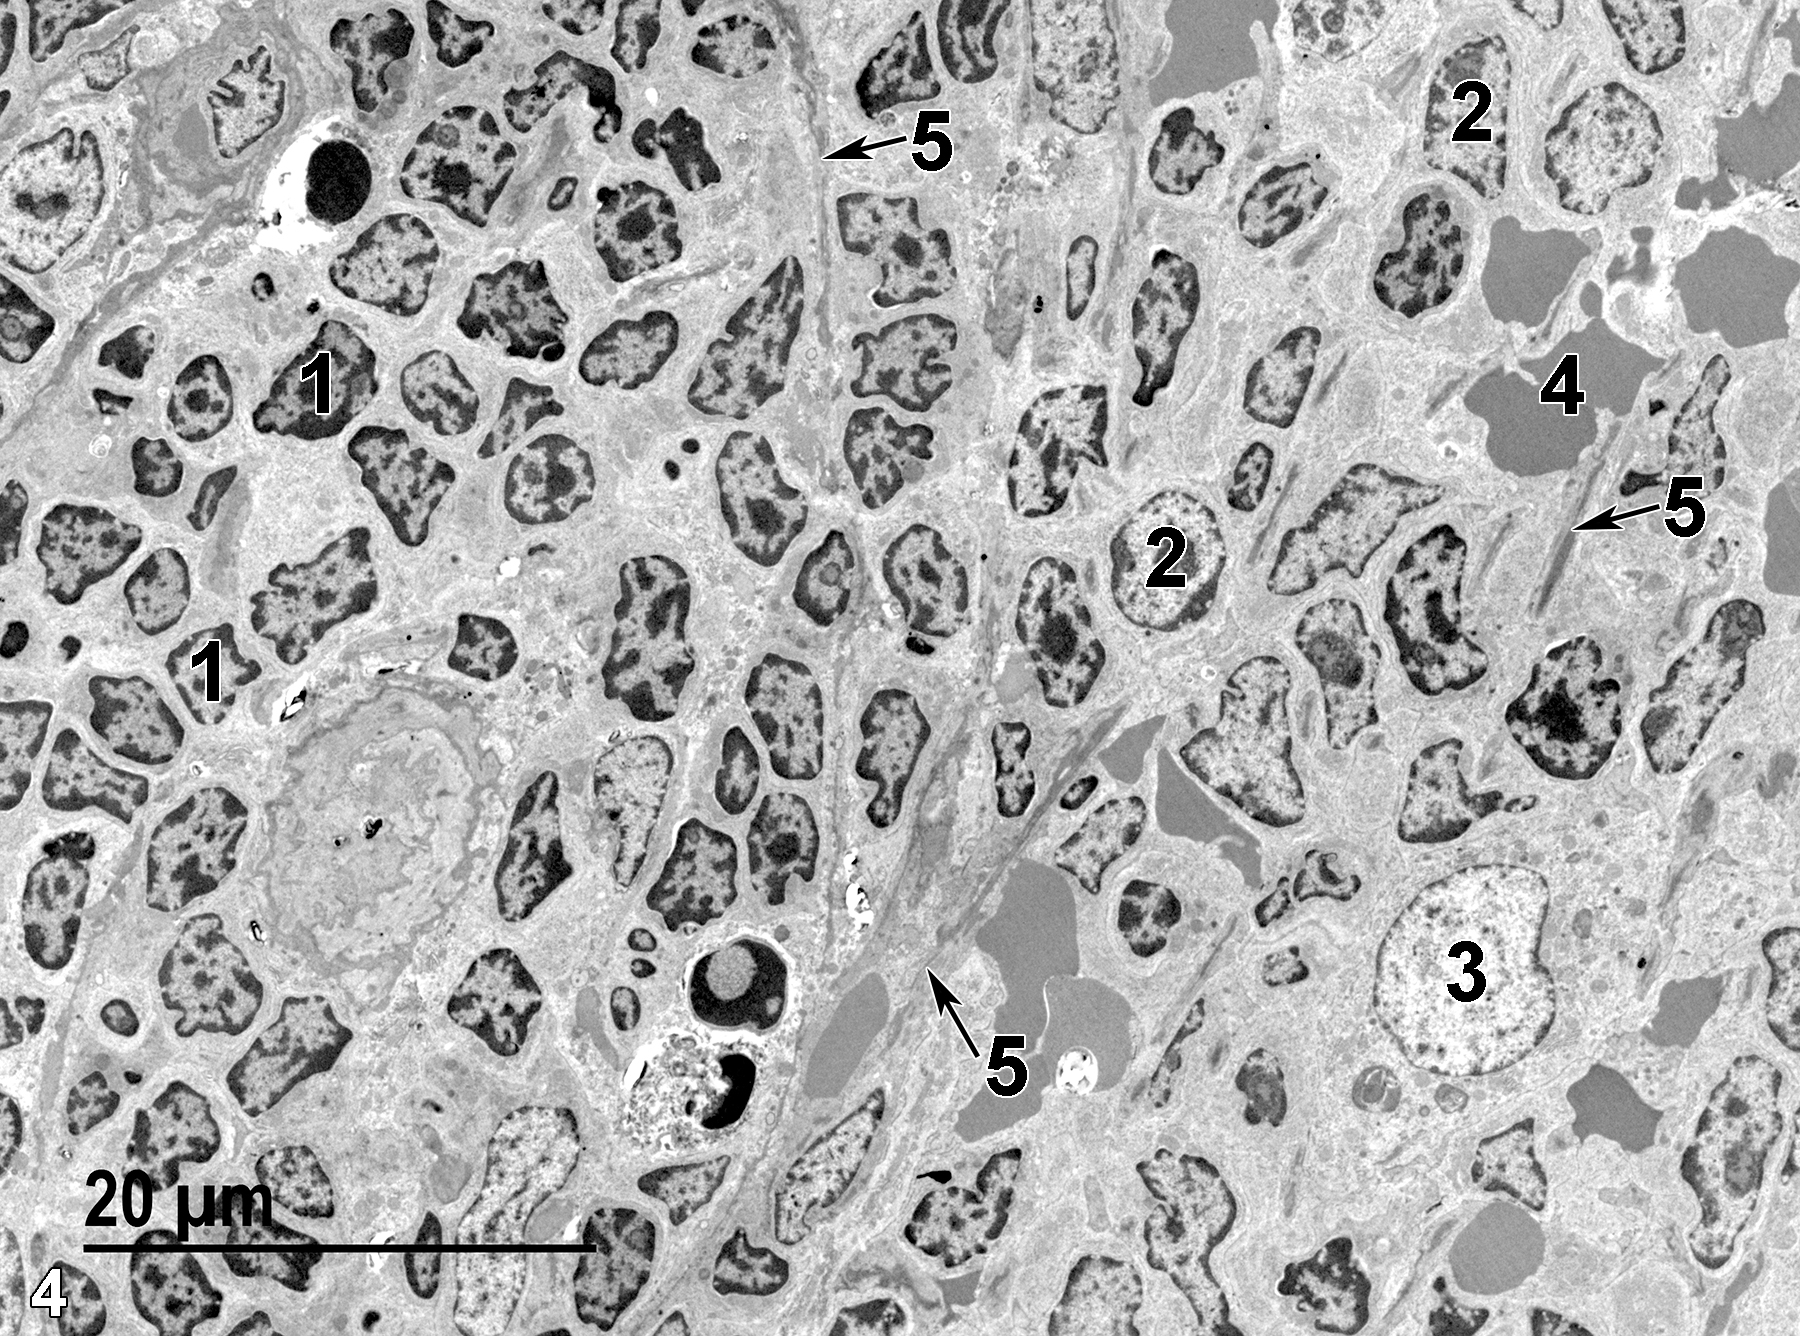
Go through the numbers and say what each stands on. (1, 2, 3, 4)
1: small lymphocytes
2: medium-sized lymphocytes
3: large lymphocyte
4: erythrocytes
